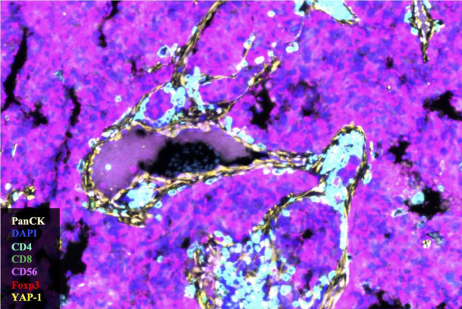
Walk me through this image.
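Running through this sheet is a branching band of stroma. The band is lined by thin yellow and white strands and holds clusters of cyan cells. Small dark gaps are scattered through the tumor sheet.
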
